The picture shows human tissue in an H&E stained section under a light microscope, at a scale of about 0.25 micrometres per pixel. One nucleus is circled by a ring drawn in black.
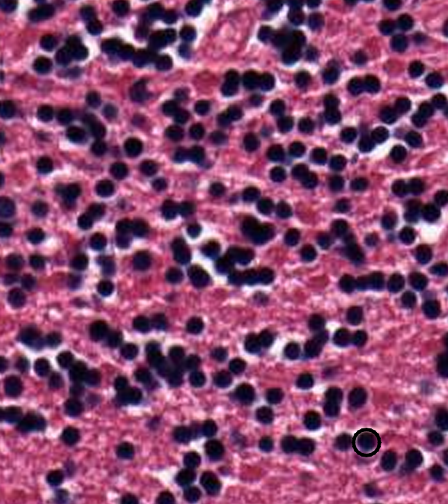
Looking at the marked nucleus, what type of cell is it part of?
cerebellar granule cell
